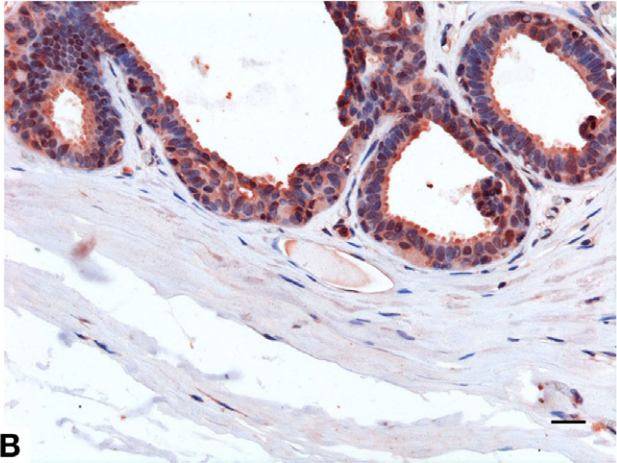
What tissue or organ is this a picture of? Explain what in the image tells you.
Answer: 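Rounded ducts with open lumina lined by a layered epithelium. Ducts set in loose fibrous stroma with sparse spindle-shaped nuclei.
Hence: ductal mammary epithelium.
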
